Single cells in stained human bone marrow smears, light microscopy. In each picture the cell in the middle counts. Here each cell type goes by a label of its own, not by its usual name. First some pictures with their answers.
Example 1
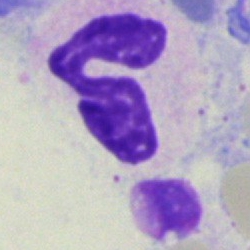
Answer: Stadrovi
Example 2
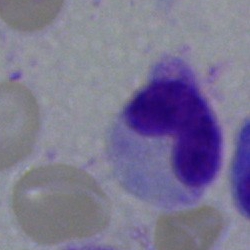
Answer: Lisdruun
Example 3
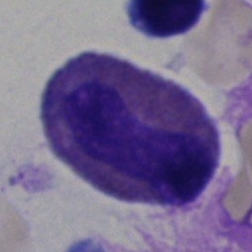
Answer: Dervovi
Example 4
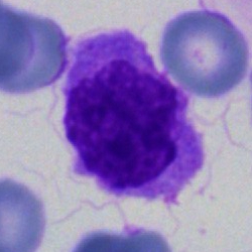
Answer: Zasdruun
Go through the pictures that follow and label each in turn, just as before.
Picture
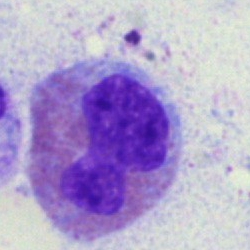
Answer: Dervovi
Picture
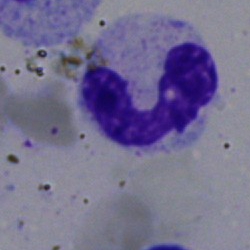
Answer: Stadrovi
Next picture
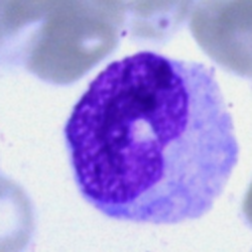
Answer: Zasdruun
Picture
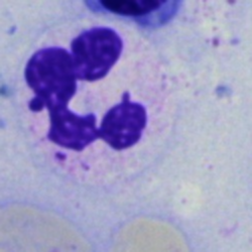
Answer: Stadrovi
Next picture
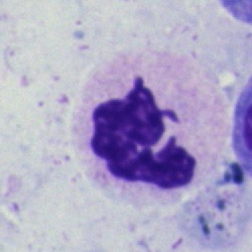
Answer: Stadrovi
